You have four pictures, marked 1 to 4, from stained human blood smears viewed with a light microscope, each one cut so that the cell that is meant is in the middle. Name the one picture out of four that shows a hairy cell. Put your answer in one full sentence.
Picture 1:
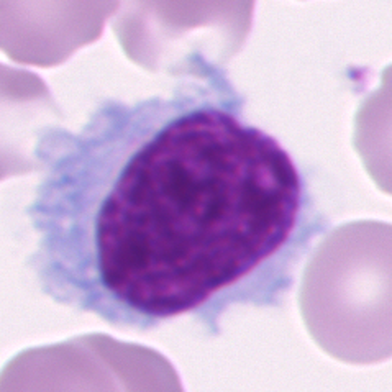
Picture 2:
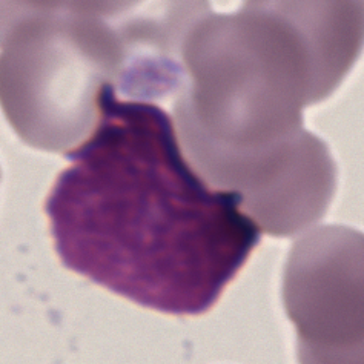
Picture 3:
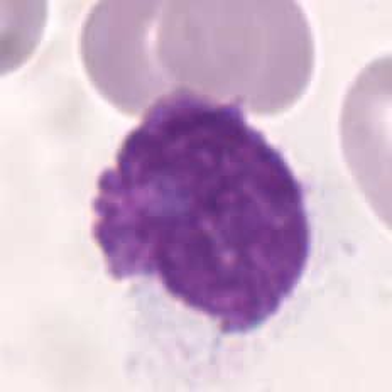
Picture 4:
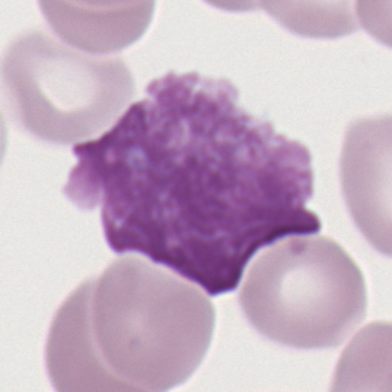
Picture 1 shows the hairy cell.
